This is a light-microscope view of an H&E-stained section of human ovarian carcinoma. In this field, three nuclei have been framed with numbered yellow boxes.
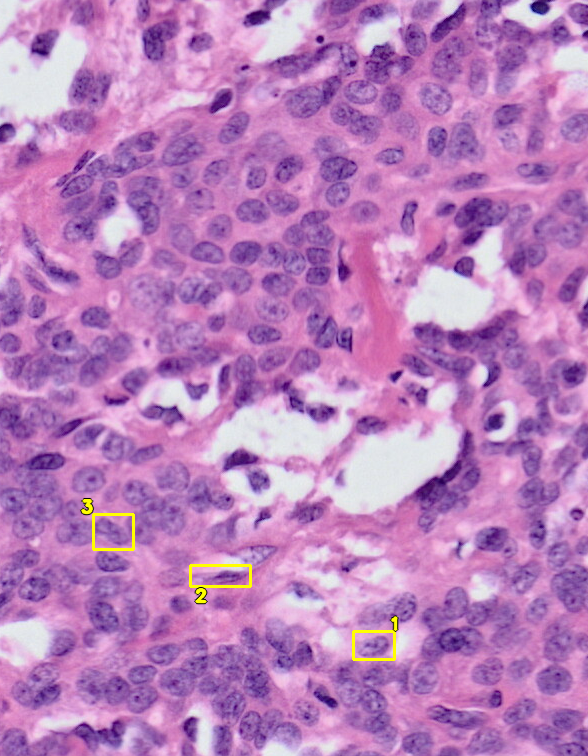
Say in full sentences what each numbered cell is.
Cell 1 is a macrophage or monocyte, cell 2 is an endothelial cell and cell 3 is a carcinoma cell.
